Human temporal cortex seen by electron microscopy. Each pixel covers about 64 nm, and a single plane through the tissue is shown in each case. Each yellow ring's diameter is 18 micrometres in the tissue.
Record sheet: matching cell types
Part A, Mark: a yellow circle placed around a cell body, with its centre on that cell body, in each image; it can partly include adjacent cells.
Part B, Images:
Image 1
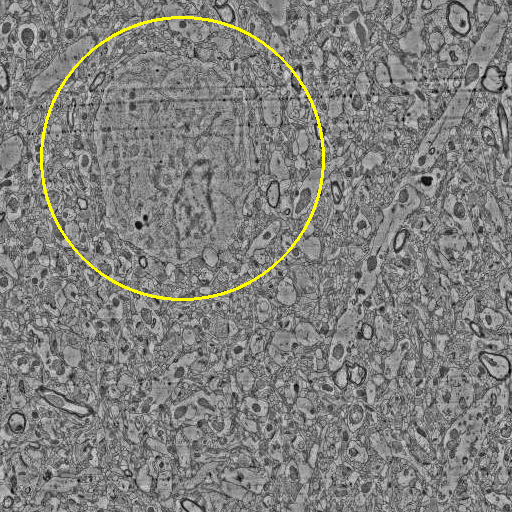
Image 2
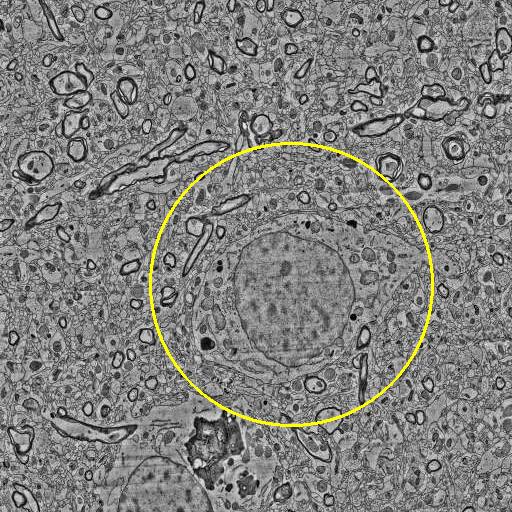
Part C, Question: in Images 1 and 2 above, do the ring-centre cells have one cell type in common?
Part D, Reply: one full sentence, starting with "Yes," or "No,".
Yes, the ring-centre cells of Image 1 and Image 2 are both of a single cell type.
